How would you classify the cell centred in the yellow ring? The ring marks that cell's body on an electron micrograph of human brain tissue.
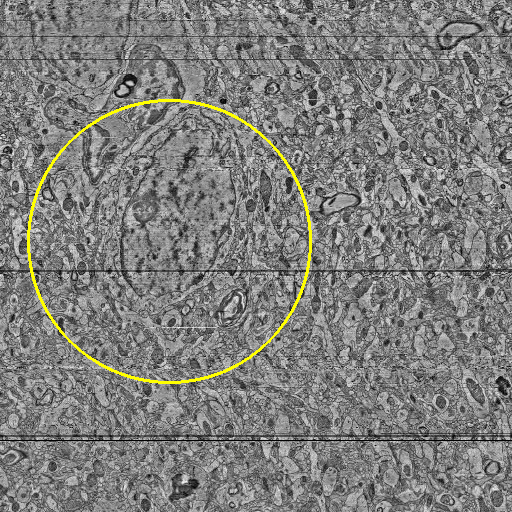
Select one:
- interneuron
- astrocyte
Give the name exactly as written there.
interneuron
